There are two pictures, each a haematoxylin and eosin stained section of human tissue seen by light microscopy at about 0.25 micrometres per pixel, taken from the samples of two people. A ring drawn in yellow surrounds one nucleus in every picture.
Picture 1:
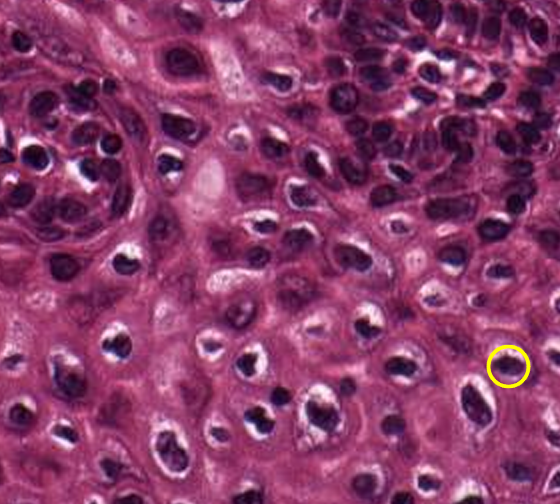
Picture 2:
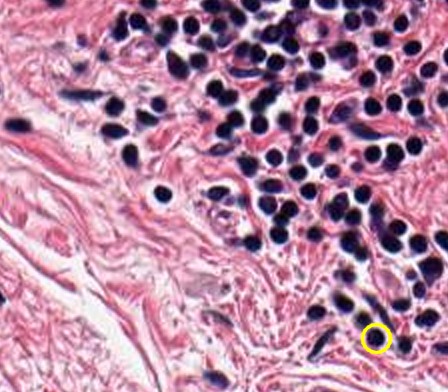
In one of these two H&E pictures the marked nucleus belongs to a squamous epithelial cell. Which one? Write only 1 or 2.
1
